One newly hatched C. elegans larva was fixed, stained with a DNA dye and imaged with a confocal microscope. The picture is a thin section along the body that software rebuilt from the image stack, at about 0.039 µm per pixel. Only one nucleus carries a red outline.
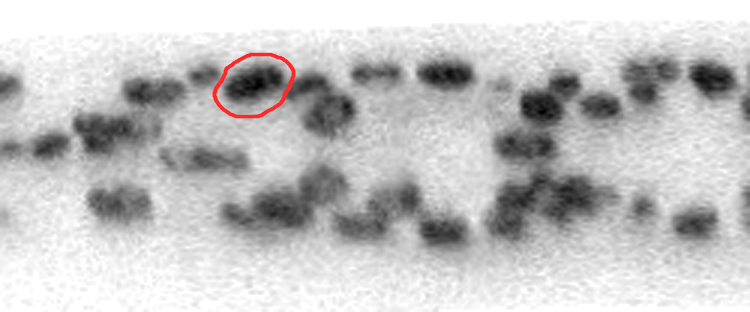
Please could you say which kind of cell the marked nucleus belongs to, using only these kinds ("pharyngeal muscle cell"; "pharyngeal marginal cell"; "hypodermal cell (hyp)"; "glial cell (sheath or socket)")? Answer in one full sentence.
The marked cell is a glial cell (sheath or socket).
